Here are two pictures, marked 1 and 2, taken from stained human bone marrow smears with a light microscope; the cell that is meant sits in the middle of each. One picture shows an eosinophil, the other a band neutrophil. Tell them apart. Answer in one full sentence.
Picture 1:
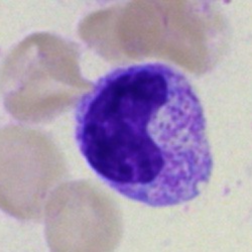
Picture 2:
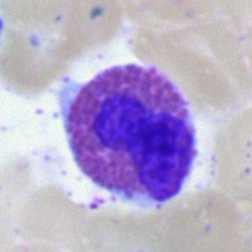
In picture 1 the cell is a band neutrophil; in picture 2, an eosinophil.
